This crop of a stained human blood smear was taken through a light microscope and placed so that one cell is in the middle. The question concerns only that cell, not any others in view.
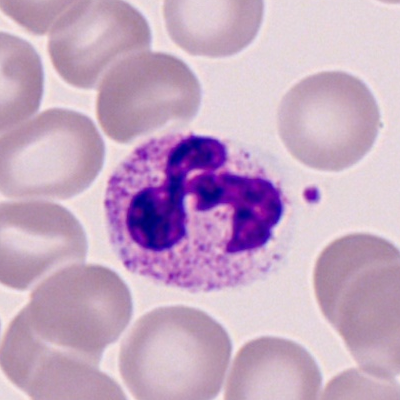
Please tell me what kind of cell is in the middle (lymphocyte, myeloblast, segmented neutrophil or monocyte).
segmented neutrophil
